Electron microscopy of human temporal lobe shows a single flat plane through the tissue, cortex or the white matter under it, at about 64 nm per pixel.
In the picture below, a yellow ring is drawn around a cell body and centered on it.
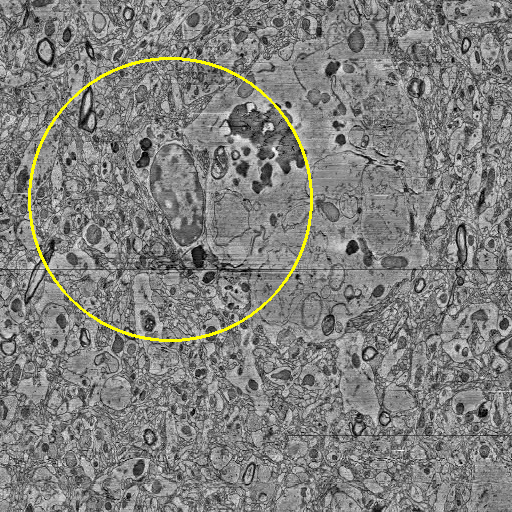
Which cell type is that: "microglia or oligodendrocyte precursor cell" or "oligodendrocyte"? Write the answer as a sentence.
The cell centered in the ring is a microglial cell or oligodendrocyte precursor cell.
